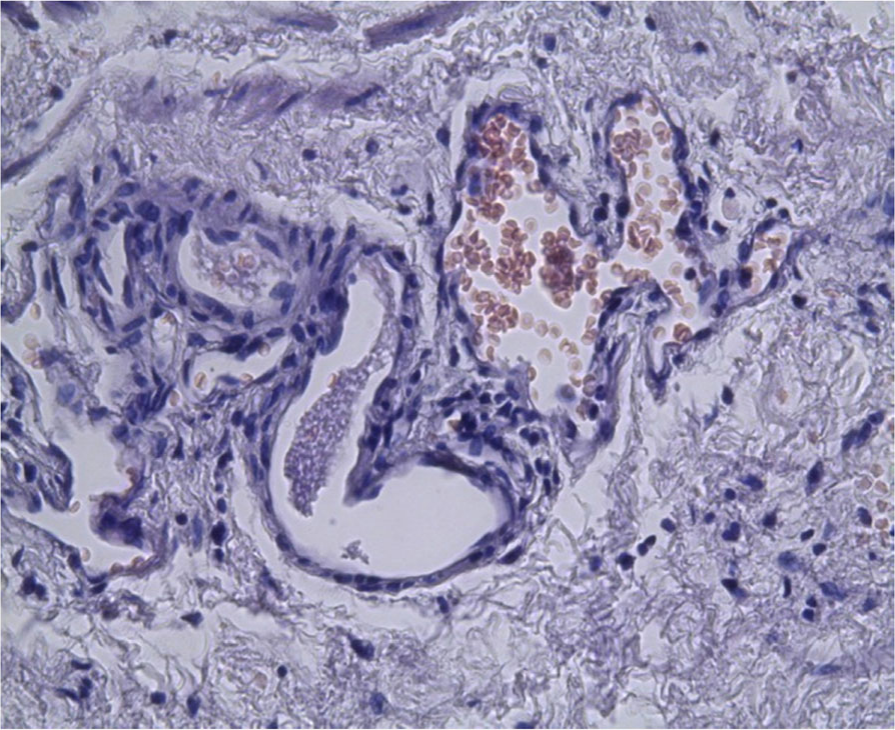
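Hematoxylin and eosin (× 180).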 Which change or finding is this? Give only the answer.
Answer: Vessels are full-blooded and their lumen dilated.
